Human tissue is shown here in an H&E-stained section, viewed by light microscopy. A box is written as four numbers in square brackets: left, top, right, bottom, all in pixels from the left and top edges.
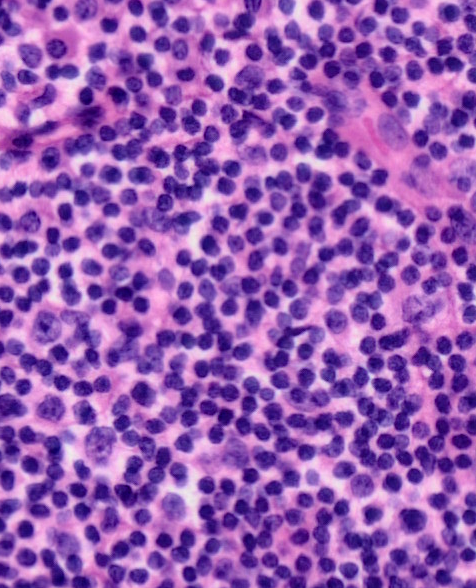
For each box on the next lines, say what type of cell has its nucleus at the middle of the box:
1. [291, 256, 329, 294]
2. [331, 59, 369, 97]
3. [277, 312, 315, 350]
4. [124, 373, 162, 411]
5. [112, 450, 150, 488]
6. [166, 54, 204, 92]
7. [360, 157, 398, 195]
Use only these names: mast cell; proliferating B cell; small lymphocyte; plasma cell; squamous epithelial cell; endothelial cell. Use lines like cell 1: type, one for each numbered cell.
cell 1: small lymphocyte
cell 2: endothelial cell
cell 3: small lymphocyte
cell 4: proliferating B cell
cell 5: small lymphocyte
cell 6: plasma cell
cell 7: endothelial cell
